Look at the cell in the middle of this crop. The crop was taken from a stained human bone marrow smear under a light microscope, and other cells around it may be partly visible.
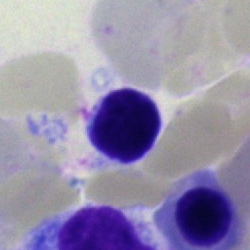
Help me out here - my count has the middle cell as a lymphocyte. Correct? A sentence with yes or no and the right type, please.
Yes, the cell found at the centre of the crop is a lymphocyte.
